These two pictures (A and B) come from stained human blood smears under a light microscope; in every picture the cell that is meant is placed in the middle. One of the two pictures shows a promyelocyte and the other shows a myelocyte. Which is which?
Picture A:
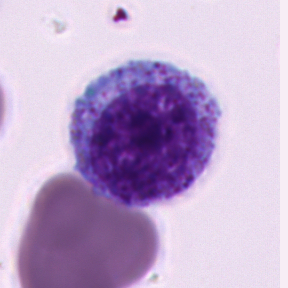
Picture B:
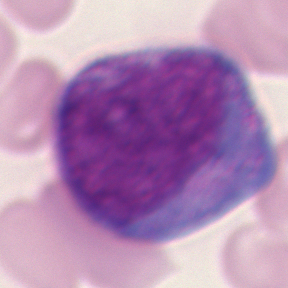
A: myelocyte
B: promyelocyte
